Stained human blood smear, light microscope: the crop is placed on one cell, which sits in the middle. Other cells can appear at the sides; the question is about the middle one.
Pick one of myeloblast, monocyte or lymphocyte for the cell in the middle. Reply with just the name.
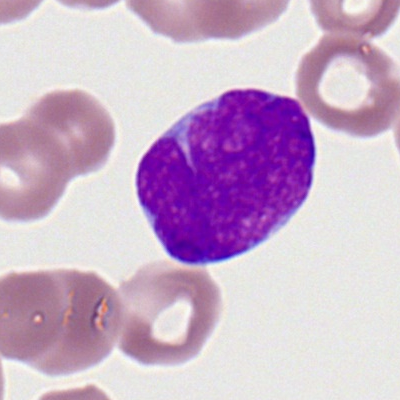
myeloblast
